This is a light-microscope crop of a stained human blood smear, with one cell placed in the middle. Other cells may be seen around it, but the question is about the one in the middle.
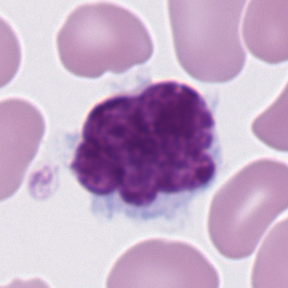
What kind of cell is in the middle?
hairy cell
